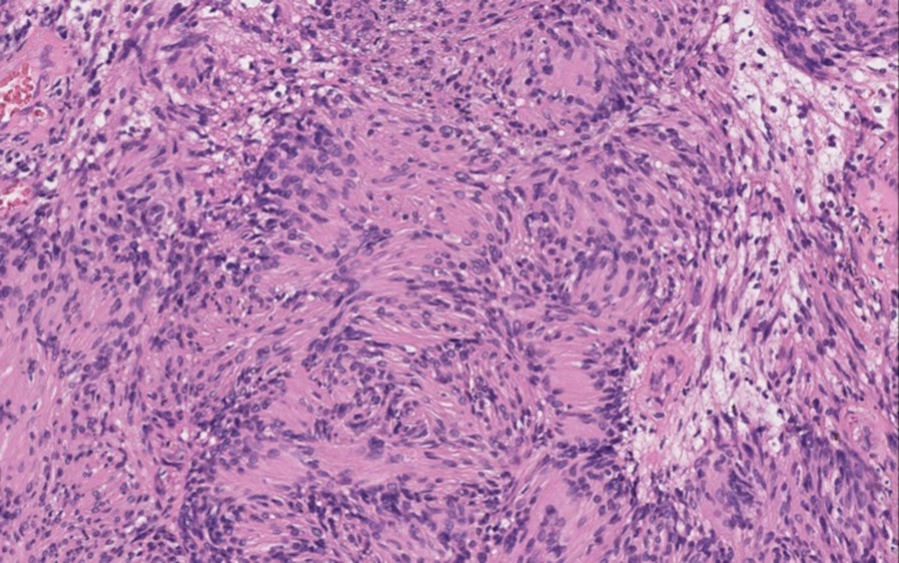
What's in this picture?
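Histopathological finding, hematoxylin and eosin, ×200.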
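This is a schwannoma made of spindle-shaped cells arranged in streaming, interlacing fascicles. The cells have elongated, tapered, dark purple nuclei and pale pink fibrillary cytoplasm with indistinct cell borders. In the densely cellular areas the nuclei line up side by side in rows, with pink, nucleus-poor zones between them. Toward the right and top edges the tissue becomes loose and pale, with vacuolated, sparsely cellular areas, giving a biphasic pattern of compact and loose regions. A small vessel with red blood cells is seen at the upper left edge.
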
